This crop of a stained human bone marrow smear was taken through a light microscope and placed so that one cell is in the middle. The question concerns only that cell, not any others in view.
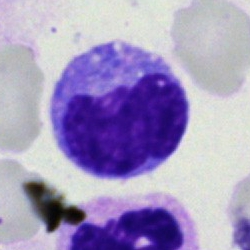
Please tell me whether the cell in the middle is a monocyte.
yes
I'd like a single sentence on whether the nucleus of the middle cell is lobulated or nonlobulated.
What stands out is a nucleus forming one compact round, oval or kidney-shaped mass.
